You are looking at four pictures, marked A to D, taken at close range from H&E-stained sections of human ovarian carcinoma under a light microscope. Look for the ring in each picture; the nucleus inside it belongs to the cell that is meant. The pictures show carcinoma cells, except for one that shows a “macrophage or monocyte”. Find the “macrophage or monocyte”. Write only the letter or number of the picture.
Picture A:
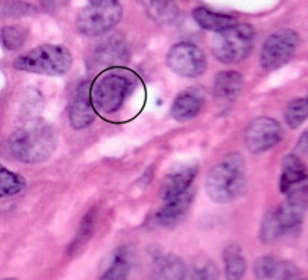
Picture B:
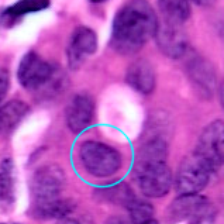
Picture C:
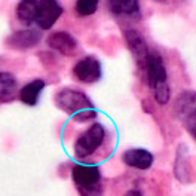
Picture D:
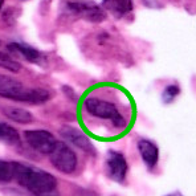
D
